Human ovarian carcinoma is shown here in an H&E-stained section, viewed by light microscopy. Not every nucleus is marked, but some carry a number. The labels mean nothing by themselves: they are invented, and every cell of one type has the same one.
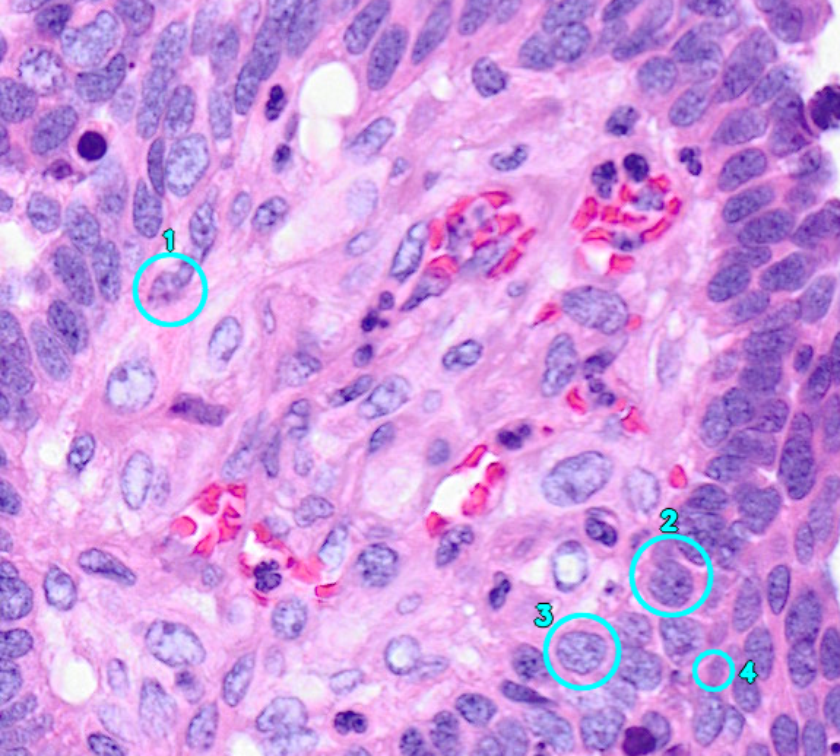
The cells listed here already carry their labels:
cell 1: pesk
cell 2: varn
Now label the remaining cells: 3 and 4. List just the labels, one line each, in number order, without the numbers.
varn
varn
